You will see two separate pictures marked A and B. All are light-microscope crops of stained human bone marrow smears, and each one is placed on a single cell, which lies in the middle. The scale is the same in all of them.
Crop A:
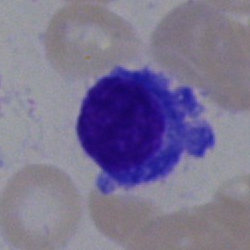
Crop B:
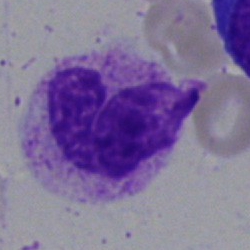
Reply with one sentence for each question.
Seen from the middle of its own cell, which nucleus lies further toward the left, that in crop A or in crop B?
The nucleus in crop A lies further toward the left of its cell.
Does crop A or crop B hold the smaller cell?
Smaller is the cell in crop A, and the other is about 1.5 times as large in area.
